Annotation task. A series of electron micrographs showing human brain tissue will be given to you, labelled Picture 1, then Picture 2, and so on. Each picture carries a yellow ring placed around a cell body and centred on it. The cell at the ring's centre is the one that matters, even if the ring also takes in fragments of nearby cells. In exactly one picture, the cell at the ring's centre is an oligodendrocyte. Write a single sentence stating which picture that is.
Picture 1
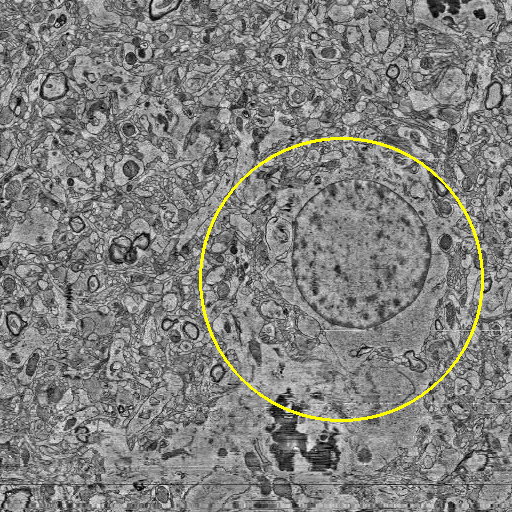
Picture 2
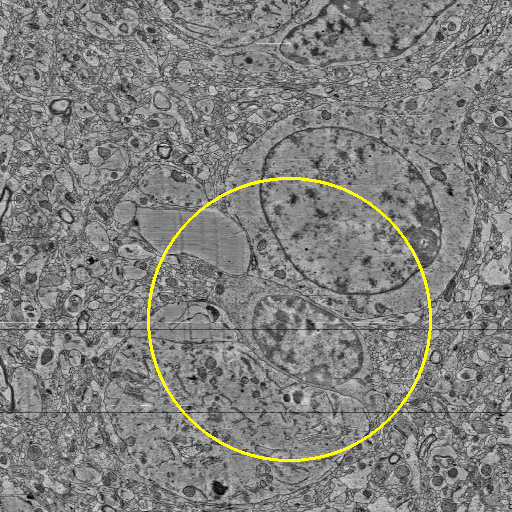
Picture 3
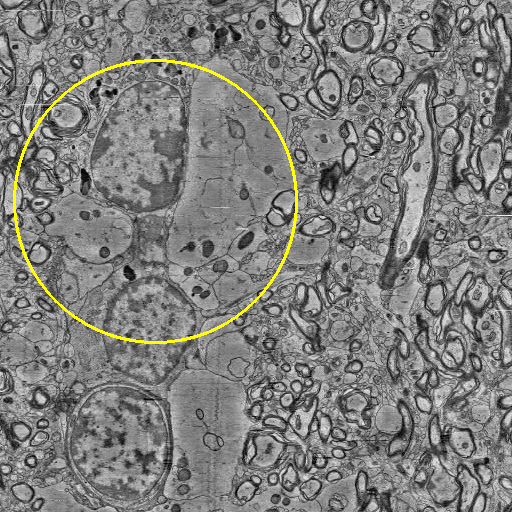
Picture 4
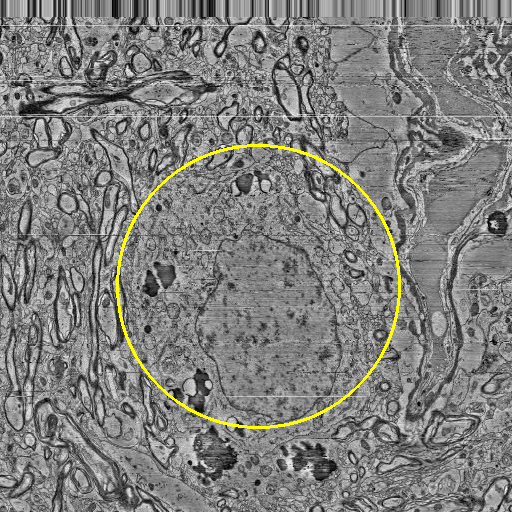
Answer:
Picture 2 holds the requested cell at the very centre of its ring.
